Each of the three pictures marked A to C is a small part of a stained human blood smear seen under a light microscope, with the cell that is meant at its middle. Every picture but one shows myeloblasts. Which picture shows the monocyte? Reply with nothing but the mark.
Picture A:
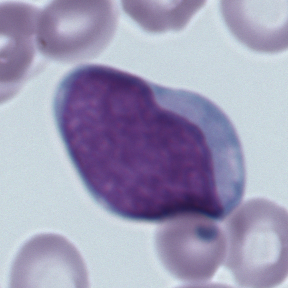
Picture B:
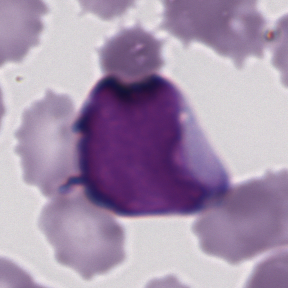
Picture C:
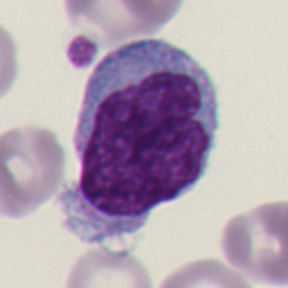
C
